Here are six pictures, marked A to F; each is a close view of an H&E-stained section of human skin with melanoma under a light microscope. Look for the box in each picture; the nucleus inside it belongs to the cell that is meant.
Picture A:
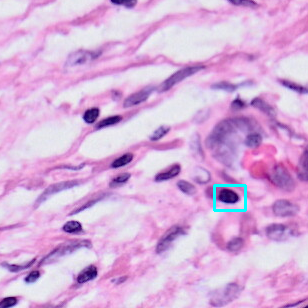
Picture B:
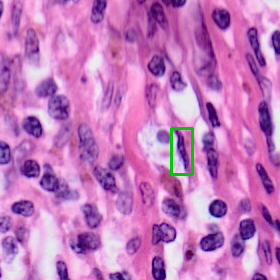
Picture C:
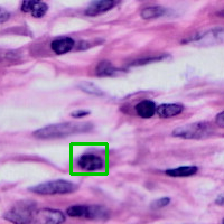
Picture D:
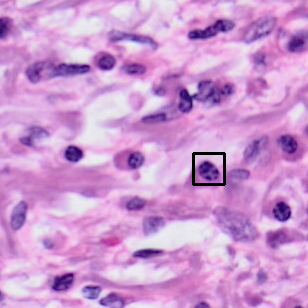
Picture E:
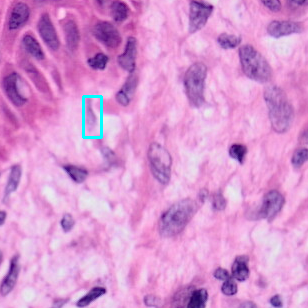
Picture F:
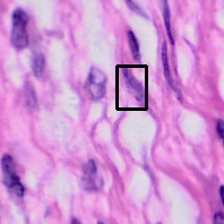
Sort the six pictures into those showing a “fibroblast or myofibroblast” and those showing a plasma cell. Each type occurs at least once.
A: plasma cell
B: fibroblast or myofibroblast
C: plasma cell
D: plasma cell
E: fibroblast or myofibroblast
F: fibroblast or myofibroblast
